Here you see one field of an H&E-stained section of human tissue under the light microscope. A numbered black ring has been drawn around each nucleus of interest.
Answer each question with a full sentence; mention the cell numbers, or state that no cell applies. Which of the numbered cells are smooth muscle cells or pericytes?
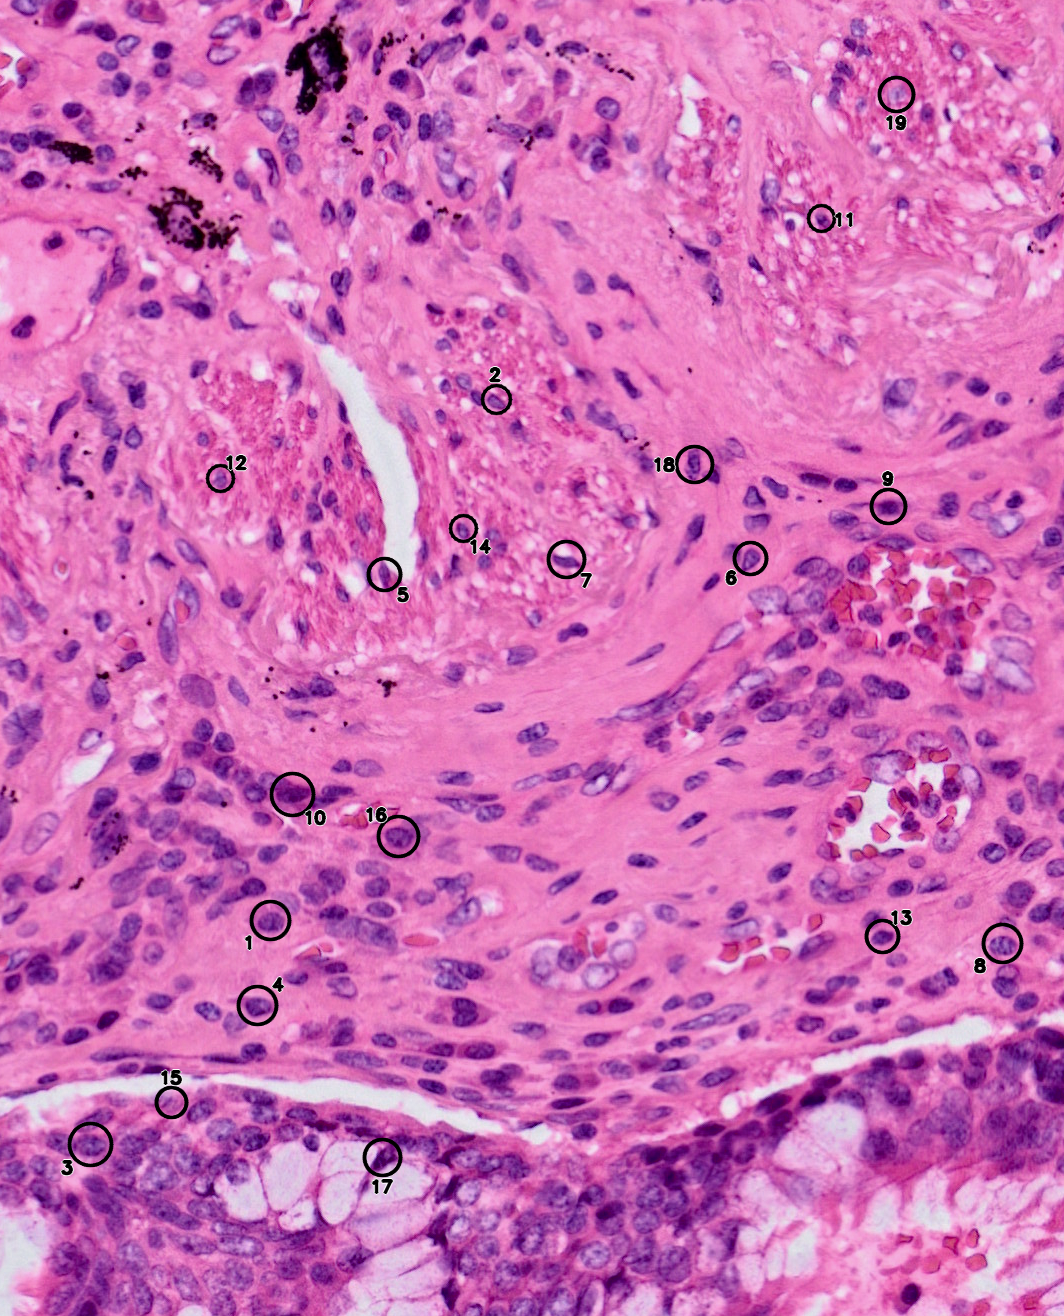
The cells assigned the numbers 2, 5, 7, 11, 12, 14 and 19 are smooth muscle cells or pericytes.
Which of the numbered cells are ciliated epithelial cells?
The cells marked with the numbers 3, 15 and 17 are ciliated epithelial cells.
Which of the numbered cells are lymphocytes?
There is only one numbered cell that is a lymphocyte, and it is cell 13.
